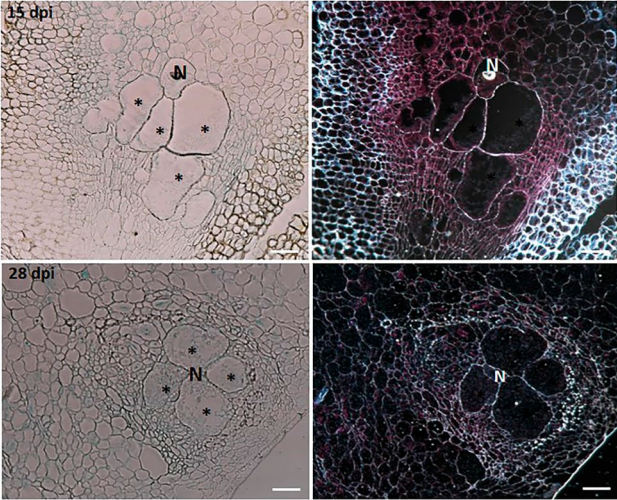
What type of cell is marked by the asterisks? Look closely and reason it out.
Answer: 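Cells marked by asterisks are several times larger than the surrounding cells. The marked cells form a cluster of rounded, enlarged cells in the centre of the section. The surrounding tissue is made of many small, tightly packed cells.
Answer: giant cell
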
